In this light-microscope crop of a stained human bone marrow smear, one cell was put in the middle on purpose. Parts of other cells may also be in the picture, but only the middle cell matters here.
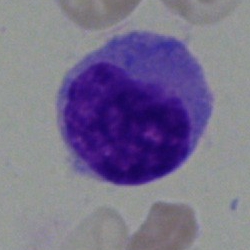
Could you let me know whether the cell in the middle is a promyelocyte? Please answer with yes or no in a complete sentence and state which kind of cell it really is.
No, the centre cell is not a promyelocyte but a monocyte.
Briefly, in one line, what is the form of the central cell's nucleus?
Between us, the nucleus here is just one compact mass, round, oval or kidney-shaped.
